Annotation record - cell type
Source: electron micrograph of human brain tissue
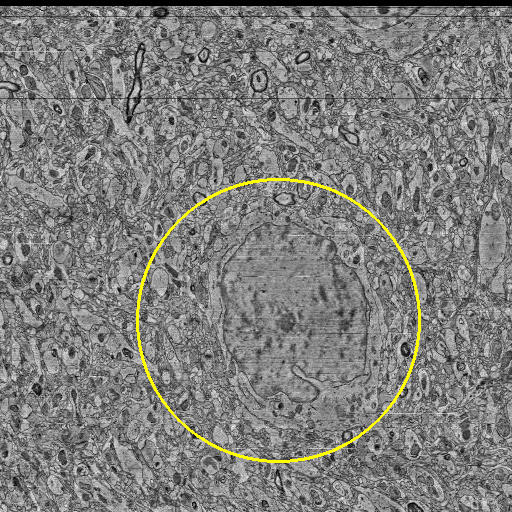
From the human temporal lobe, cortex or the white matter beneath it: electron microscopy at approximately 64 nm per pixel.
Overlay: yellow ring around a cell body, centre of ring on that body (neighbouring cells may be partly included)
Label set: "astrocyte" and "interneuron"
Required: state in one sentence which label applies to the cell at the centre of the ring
This cell should be labelled as an interneuron.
